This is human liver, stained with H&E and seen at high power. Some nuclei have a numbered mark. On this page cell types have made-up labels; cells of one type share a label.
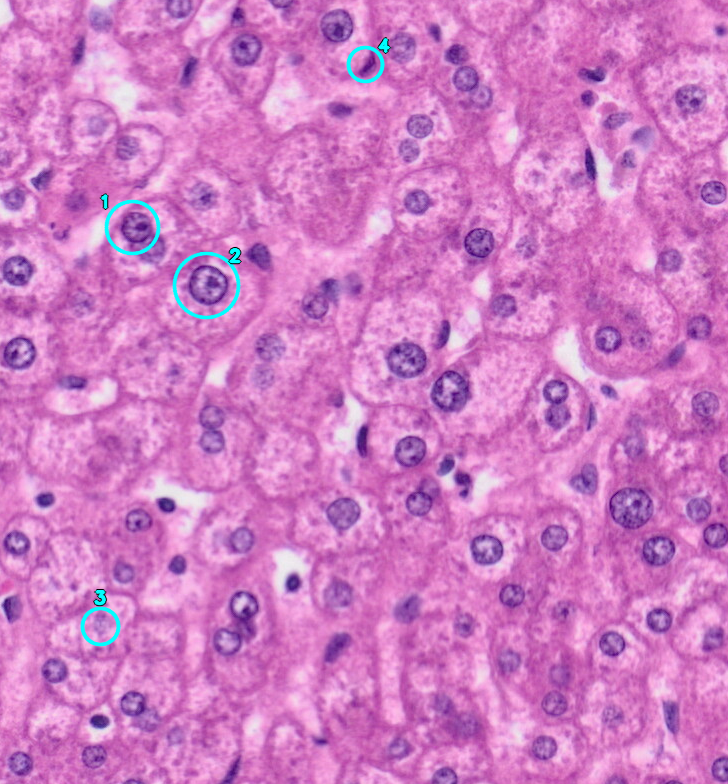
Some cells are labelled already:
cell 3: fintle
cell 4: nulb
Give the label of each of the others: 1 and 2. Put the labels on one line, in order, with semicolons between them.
fintle; fintle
